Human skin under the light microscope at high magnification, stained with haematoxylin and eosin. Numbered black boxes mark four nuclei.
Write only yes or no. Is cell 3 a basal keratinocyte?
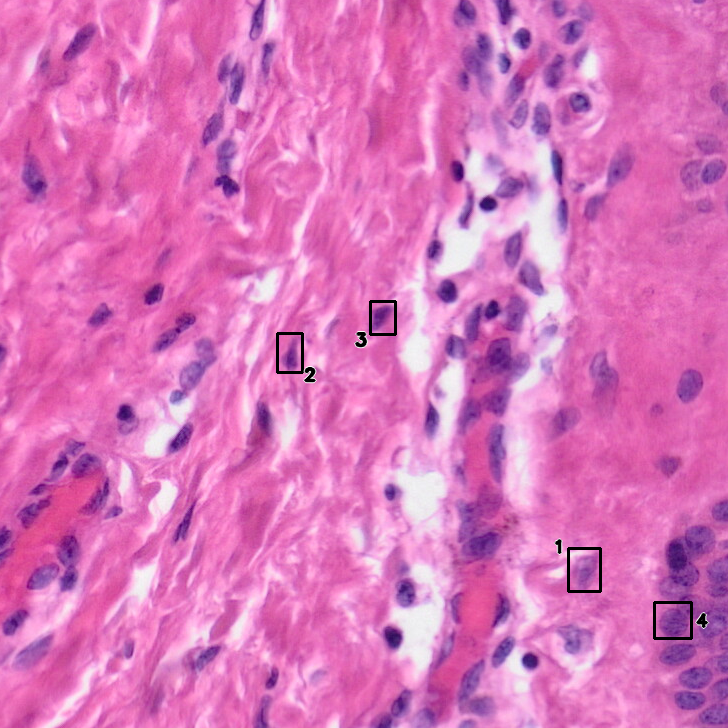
no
